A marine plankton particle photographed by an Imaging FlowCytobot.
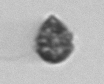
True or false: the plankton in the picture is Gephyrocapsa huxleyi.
False; it is Scrippsiella.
